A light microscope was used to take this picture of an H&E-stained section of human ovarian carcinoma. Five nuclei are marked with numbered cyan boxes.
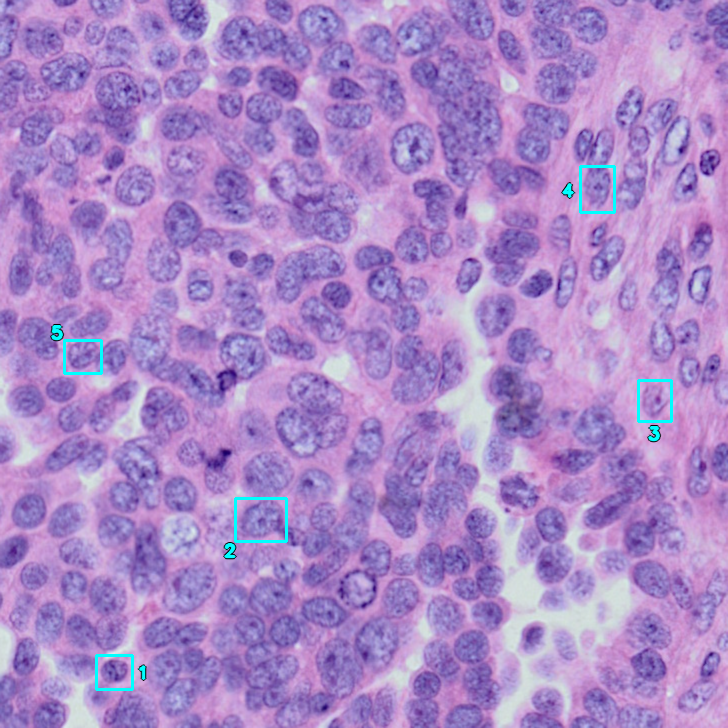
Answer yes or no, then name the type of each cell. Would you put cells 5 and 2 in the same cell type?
Yes, the numbered cells 5 and 2 are both carcinoma cells.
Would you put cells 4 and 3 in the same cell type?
Yes, it is as fibroblasts that cells 4 and 3 are both classified.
